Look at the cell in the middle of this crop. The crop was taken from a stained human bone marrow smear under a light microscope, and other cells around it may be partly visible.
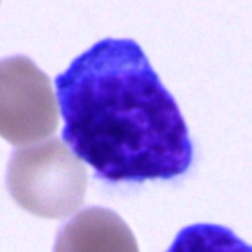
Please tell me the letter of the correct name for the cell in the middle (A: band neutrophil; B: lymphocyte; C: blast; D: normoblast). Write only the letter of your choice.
C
